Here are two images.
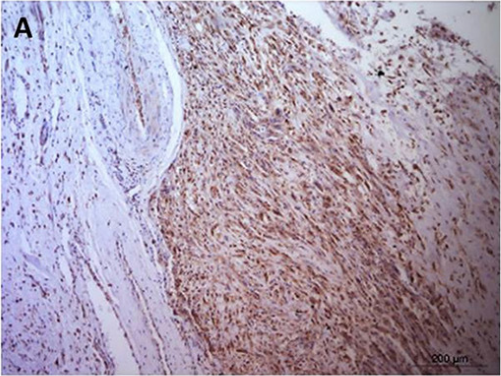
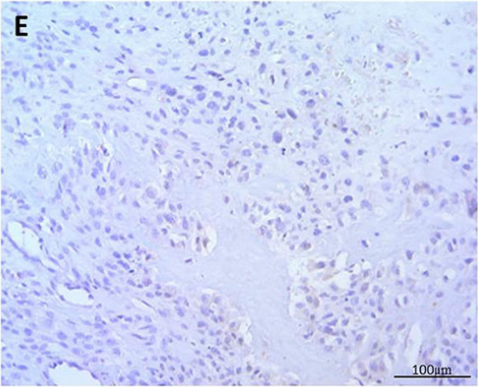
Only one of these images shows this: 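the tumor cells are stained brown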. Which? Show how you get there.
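The first image. First image: densely packed spindle cells carry a strong brown stain.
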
